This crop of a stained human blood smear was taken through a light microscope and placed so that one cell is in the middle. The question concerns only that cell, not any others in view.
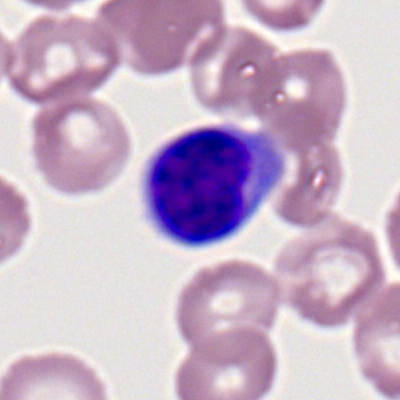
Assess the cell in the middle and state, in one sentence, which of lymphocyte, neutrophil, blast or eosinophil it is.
The cell of interest, in the center, is a lymphocyte.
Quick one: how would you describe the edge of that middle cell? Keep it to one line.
Worth noting that the cell border is smooth and lacks projections.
